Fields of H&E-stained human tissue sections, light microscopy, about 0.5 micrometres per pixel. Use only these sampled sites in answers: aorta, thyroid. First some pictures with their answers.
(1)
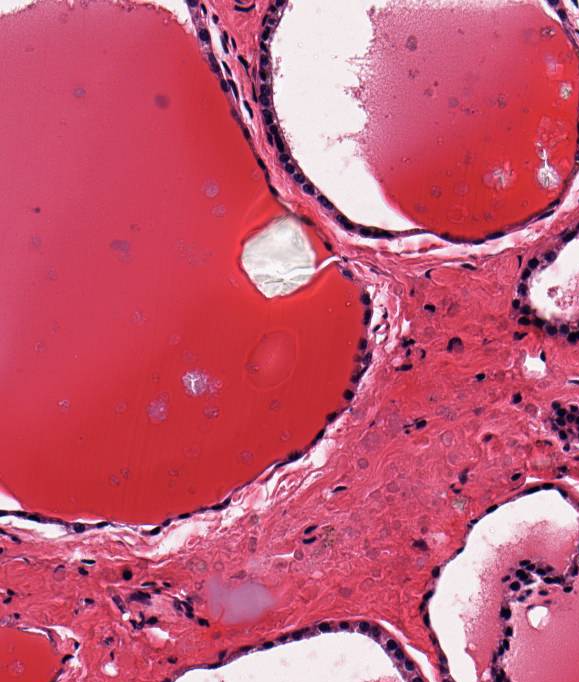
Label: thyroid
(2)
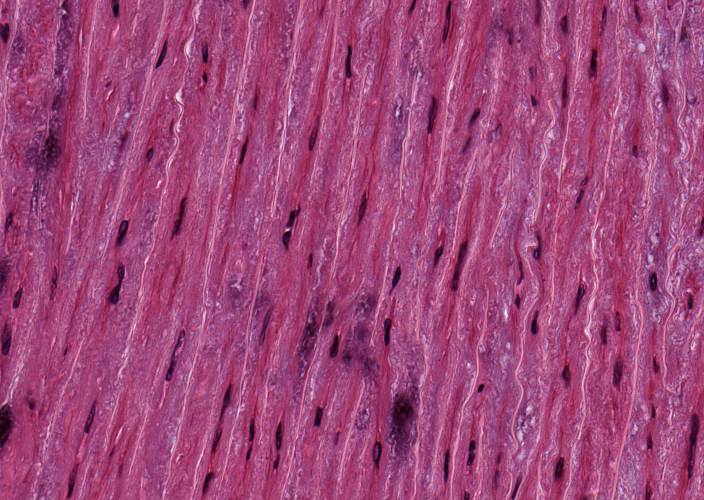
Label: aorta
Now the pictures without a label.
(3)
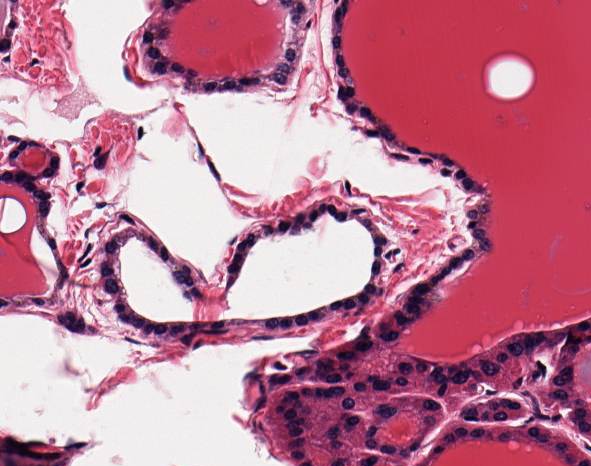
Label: thyroid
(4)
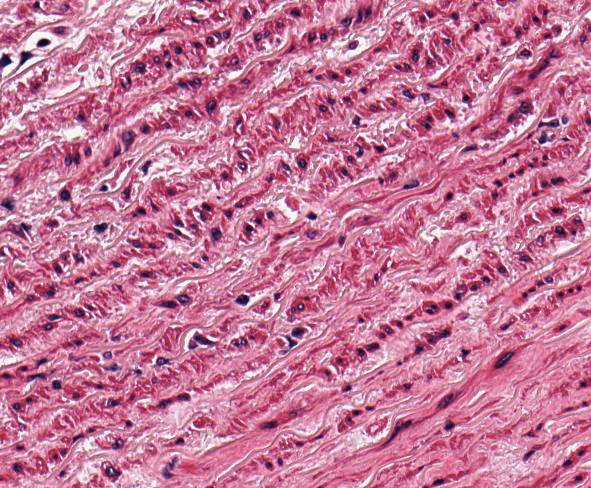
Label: aorta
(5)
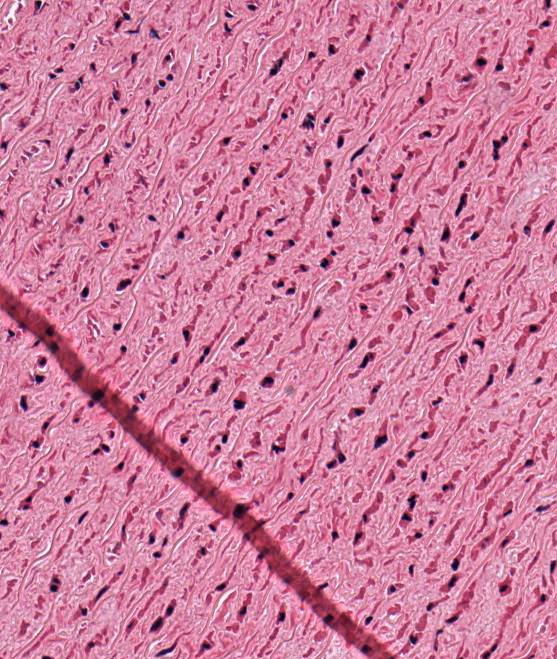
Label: aorta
